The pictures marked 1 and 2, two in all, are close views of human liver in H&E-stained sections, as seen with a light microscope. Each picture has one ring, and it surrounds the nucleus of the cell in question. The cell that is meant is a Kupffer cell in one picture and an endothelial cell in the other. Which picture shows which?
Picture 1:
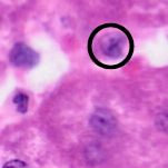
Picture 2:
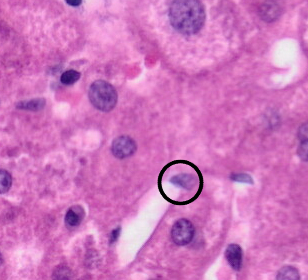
1: Kupffer cell
2: endothelial cell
